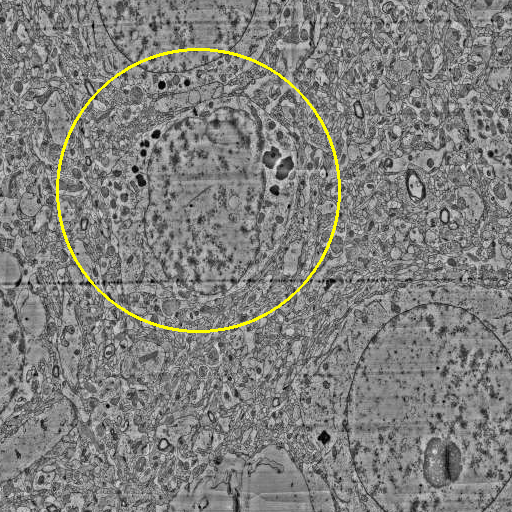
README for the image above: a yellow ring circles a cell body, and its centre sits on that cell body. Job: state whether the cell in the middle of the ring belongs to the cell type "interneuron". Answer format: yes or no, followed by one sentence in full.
Yes, the cell sitting in the middle of the ring in the image belongs to that type.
